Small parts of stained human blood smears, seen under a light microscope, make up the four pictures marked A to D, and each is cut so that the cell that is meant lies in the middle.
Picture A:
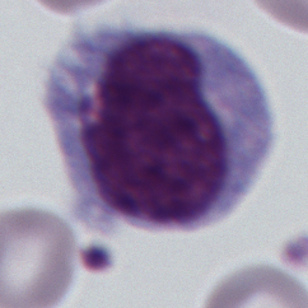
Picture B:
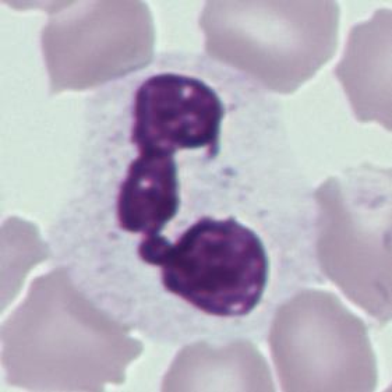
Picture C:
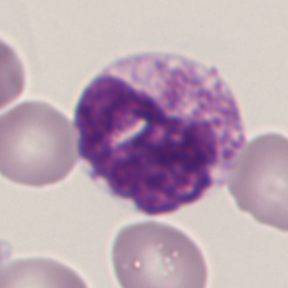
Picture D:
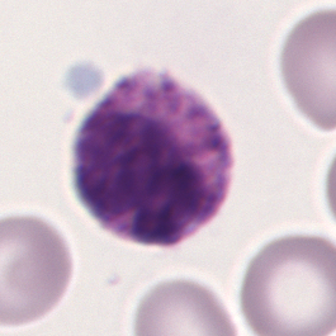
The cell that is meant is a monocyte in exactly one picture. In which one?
A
